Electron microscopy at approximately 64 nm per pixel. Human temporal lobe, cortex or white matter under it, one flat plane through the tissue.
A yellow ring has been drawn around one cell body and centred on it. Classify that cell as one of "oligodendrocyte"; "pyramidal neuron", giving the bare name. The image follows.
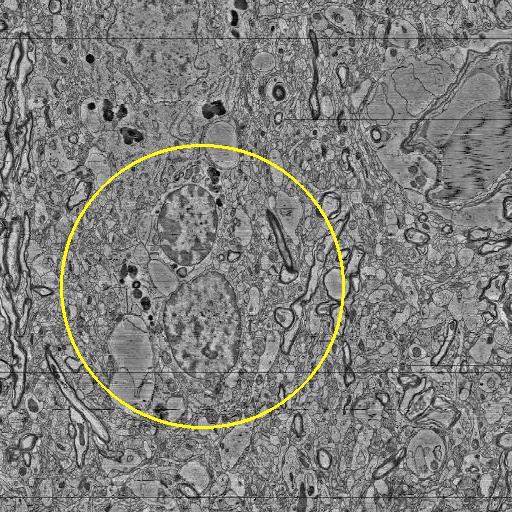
oligodendrocyte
